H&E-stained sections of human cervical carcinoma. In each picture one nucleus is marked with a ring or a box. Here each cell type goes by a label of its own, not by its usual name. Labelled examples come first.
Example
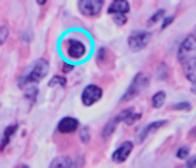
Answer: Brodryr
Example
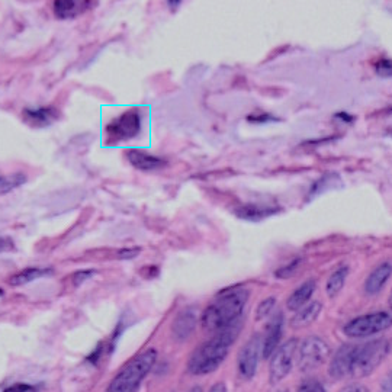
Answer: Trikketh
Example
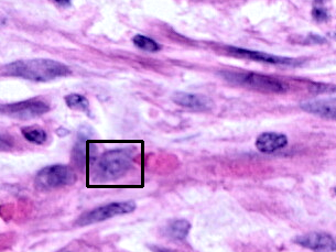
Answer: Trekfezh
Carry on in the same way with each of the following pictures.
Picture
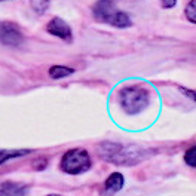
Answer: Brodryr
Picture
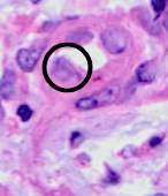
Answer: Trekfezh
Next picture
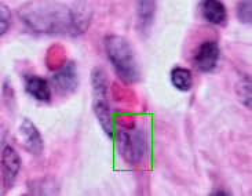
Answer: Trekfezh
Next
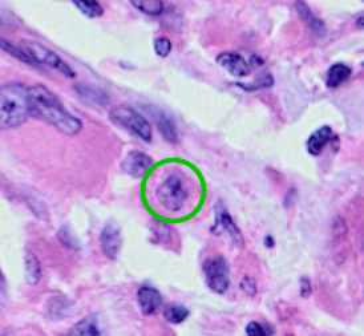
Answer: Trikketh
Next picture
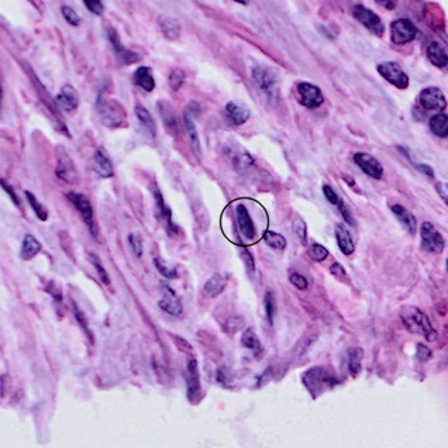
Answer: Brodryr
